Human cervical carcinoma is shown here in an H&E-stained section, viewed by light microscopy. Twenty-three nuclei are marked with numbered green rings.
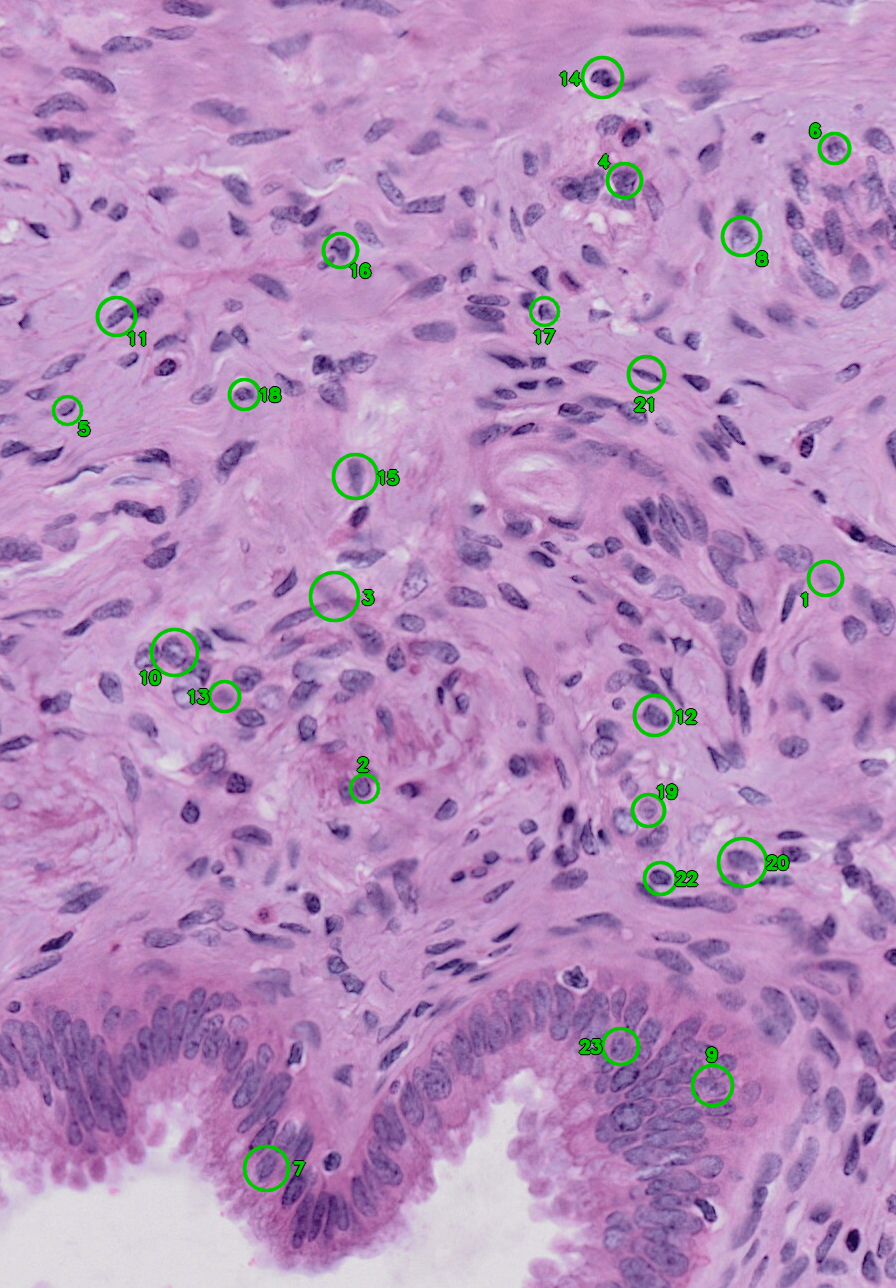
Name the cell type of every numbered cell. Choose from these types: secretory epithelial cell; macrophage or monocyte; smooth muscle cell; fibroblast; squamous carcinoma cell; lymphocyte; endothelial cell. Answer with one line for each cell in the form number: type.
1: fibroblast
2: smooth muscle cell
3: smooth muscle cell
4: endothelial cell
5: fibroblast
6: smooth muscle cell
7: secretory epithelial cell
8: fibroblast
9: secretory epithelial cell
10: endothelial cell
11: fibroblast
12: fibroblast
13: endothelial cell
14: lymphocyte
15: fibroblast
16: fibroblast
17: fibroblast
18: fibroblast
19: endothelial cell
20: fibroblast
21: fibroblast
22: fibroblast
23: secretory epithelial cell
